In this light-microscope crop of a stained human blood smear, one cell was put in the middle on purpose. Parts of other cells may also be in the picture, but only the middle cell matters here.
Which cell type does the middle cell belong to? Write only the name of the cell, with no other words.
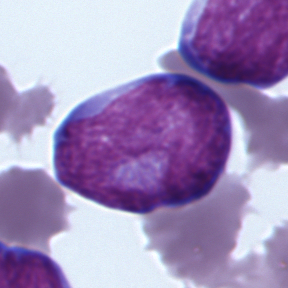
blast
